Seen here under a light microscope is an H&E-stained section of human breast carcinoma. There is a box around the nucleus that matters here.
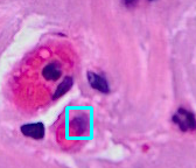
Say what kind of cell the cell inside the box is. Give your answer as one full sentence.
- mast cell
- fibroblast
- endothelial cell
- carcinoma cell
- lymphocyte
As far as its identity is concerned, the cell inside the box is an endothelial cell.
